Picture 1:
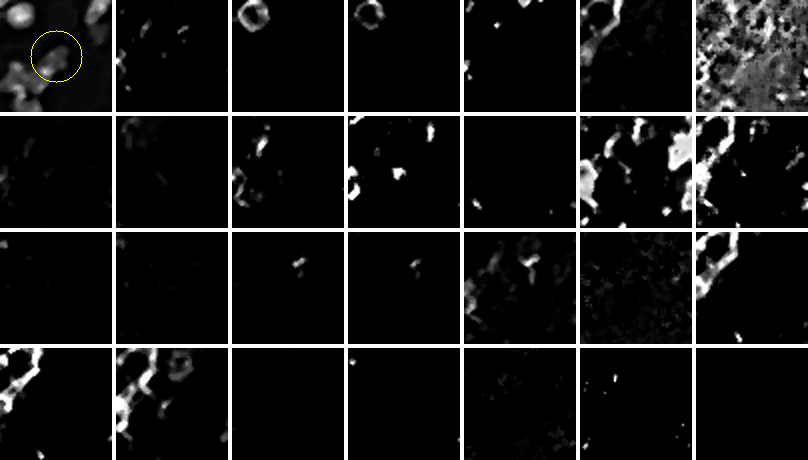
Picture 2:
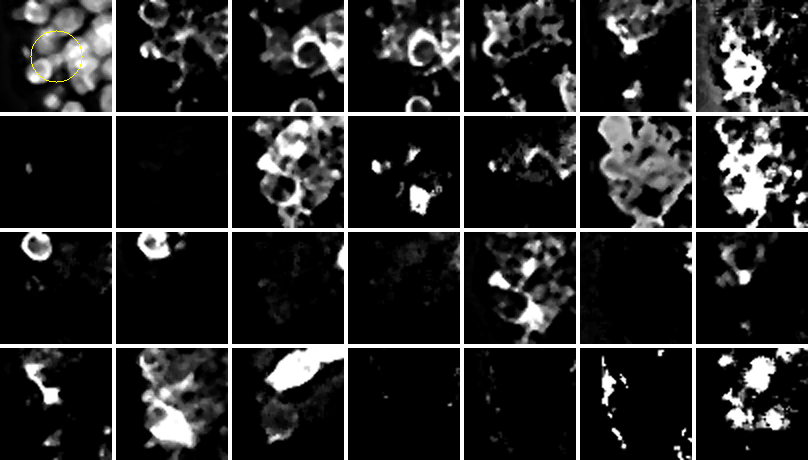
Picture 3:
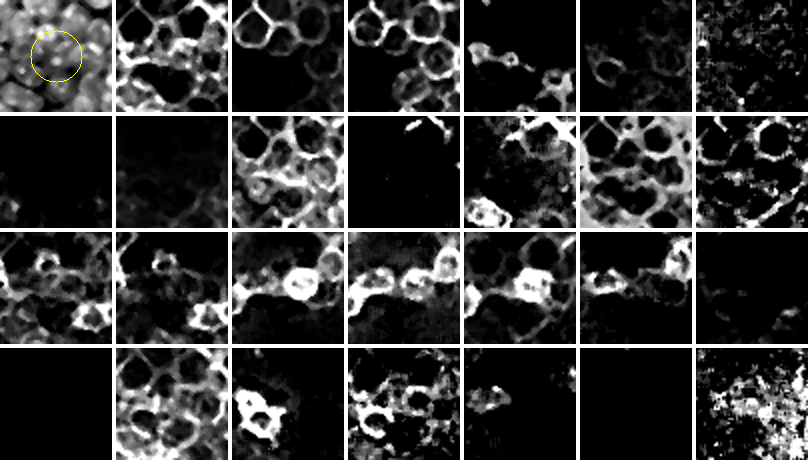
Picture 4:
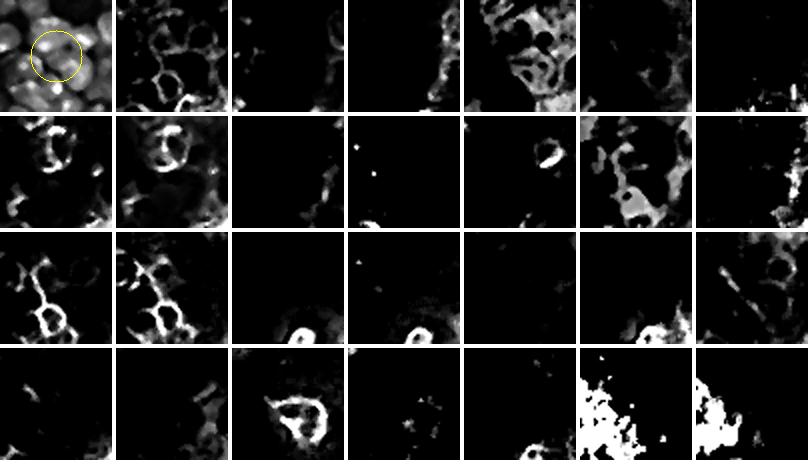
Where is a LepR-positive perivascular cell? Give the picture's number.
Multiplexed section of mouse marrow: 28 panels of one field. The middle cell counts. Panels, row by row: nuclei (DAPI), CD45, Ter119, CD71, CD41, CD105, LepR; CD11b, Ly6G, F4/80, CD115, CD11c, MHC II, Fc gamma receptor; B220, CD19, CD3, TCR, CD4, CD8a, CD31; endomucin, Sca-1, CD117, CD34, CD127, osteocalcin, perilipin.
1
